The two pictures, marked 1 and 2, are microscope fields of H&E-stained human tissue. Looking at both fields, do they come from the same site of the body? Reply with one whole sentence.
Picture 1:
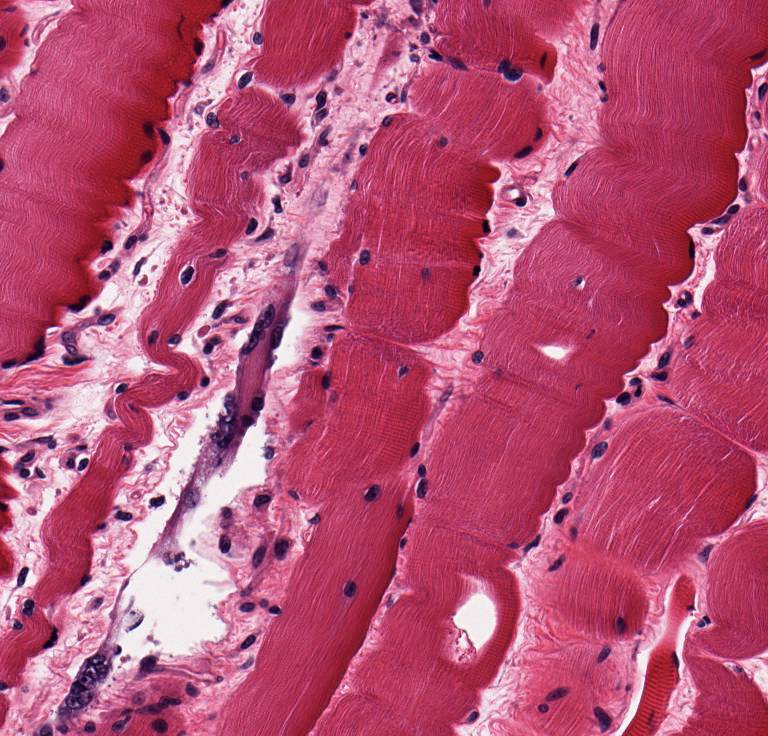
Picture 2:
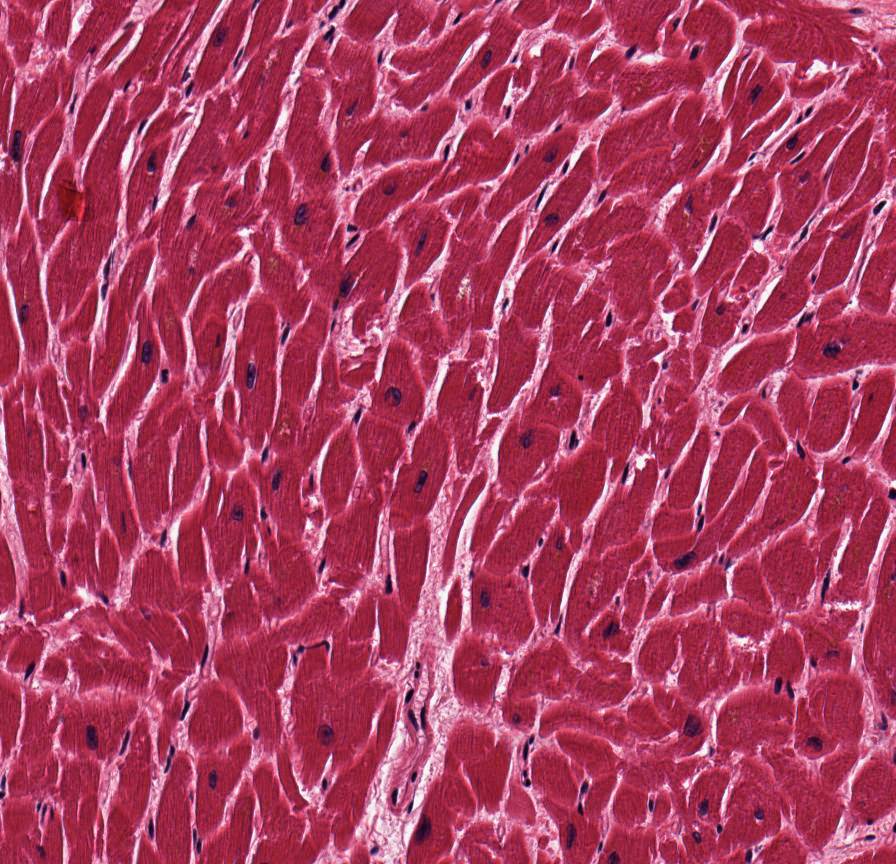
No, picture 1 comes from skeletal muscle and picture 2 comes from the left ventricle of the heart.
